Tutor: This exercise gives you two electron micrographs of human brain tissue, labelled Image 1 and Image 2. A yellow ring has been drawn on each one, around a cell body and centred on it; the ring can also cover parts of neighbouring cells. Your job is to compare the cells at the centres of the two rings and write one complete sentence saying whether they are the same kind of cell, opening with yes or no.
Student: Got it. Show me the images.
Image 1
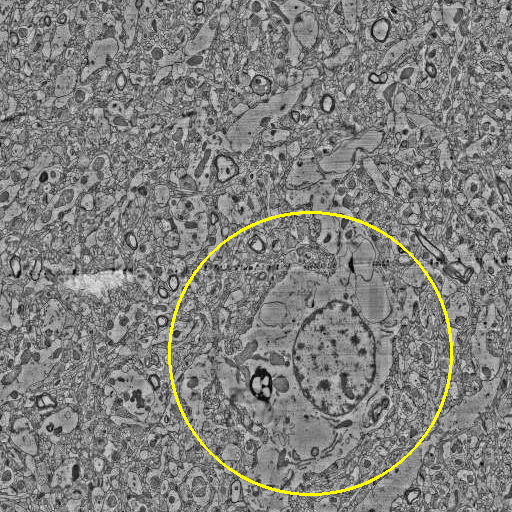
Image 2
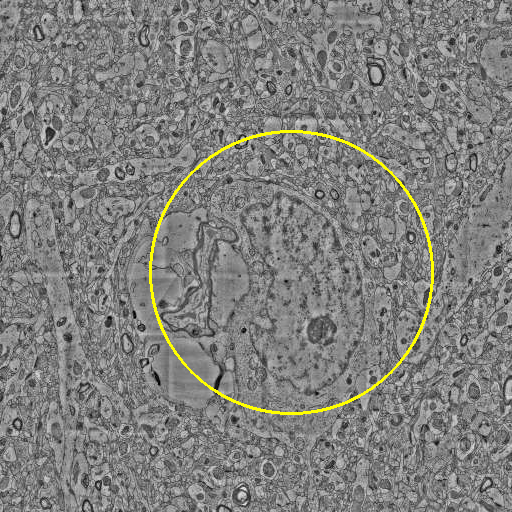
No, the two cells belong to two kinds.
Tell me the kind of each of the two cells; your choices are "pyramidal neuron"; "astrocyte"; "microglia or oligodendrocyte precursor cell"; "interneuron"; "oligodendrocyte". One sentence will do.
The ringed cell is an astrocyte in the first picture and an interneuron in the second picture.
